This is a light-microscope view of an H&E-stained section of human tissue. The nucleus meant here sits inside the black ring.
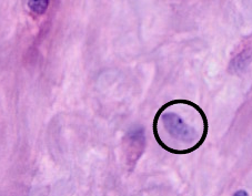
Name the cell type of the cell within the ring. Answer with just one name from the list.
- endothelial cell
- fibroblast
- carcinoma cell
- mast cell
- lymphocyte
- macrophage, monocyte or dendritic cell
fibroblast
